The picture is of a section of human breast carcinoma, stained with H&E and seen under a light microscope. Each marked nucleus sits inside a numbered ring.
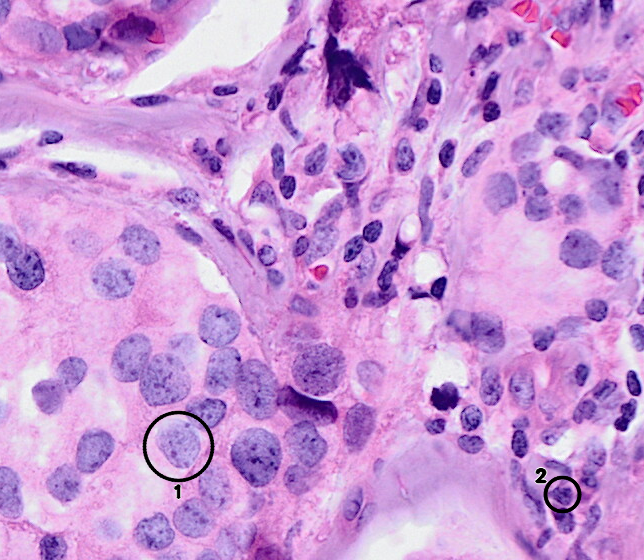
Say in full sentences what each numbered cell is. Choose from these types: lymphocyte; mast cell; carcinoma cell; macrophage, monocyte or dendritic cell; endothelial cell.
Cell 1 is a carcinoma cell. Cell 2 is a lymphocyte.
